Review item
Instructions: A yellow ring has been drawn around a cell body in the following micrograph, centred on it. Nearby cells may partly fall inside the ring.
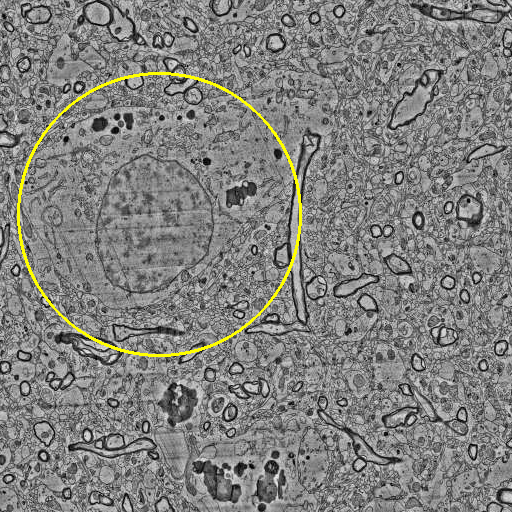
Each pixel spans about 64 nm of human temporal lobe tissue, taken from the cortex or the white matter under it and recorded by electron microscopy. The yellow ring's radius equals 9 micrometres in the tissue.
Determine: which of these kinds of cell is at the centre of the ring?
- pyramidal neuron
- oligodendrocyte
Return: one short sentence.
The cell body in the middle of the ring is that of a pyramidal neuron.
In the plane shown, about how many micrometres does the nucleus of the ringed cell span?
About 9 by 7 micrometers for the nucleus, in this plane.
